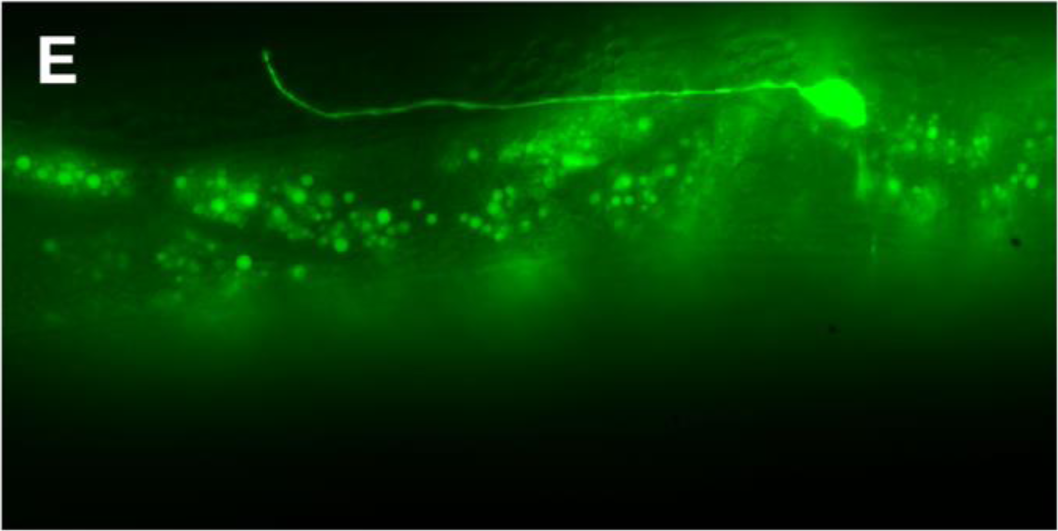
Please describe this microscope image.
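A stretch of the nematode body is shown with a single green neuron lying in the body wall. Its cell body is rounded to pear-shaped and lies on the right side of the field. A single long, thin process leaves the cell body and runs a long way to the left, ending in a short curve toward the upper edge. Below it, many small round fluorescent granules fill the gut region.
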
